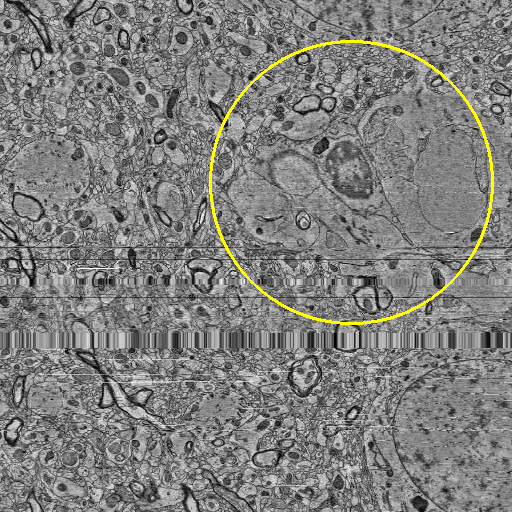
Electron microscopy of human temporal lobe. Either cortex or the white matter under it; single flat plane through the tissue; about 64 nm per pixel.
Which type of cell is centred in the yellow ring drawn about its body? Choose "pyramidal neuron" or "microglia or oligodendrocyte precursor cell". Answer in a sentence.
The yellow ring surrounds the cell body of a microglial cell or oligodendrocyte precursor cell.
